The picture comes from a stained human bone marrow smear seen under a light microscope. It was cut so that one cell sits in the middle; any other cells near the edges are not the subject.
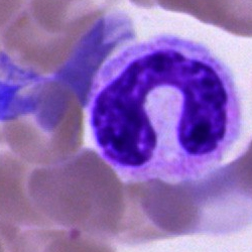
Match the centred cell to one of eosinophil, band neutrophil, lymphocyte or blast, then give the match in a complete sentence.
This particular crop is centered on a band neutrophil.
